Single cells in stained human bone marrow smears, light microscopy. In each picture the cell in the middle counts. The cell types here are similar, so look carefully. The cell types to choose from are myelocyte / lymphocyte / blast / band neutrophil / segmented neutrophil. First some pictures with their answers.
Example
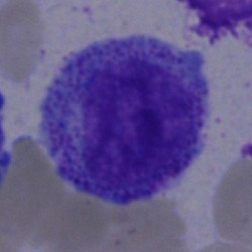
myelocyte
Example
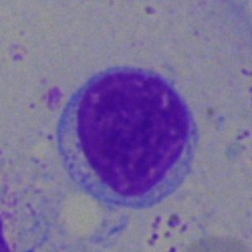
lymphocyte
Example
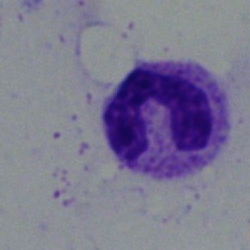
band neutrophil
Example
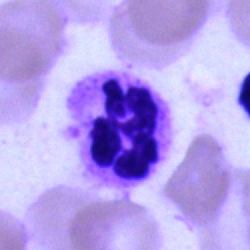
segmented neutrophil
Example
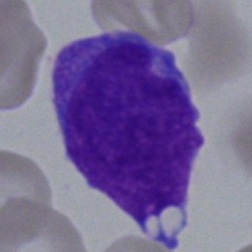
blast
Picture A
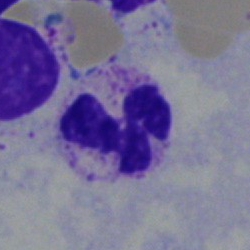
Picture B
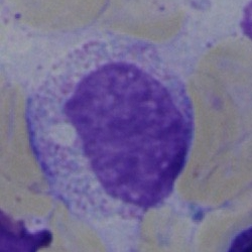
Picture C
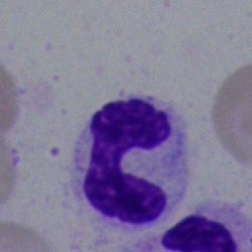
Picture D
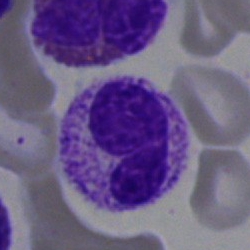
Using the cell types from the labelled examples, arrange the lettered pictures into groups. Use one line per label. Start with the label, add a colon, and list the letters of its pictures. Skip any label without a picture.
myelocyte: B
band neutrophil: C, D
segmented neutrophil: A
